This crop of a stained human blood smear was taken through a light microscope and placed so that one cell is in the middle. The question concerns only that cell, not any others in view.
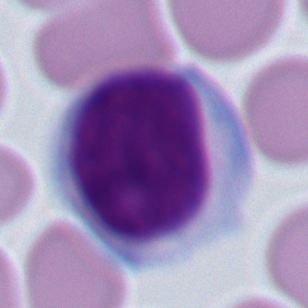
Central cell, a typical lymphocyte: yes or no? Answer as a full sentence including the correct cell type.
Yes, in the middle of the crop is a typical lymphocyte.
